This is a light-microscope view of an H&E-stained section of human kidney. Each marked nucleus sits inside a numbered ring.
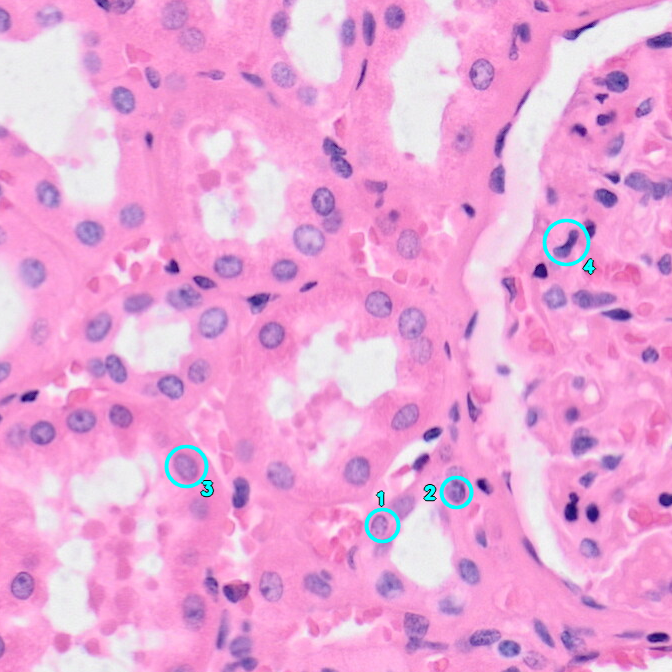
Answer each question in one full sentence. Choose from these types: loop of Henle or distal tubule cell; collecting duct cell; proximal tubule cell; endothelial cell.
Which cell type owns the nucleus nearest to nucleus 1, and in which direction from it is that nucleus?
Just below nucleus 1 lies the nearest nucleus, which belongs to a collecting duct cell.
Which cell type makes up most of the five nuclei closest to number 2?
Most of the five nuclei nearest to number 2 are those of collecting duct cells.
